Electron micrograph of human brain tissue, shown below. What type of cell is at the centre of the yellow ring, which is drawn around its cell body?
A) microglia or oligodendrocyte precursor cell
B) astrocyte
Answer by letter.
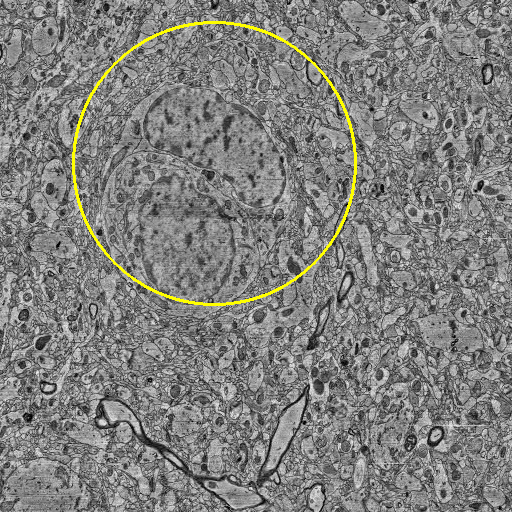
A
